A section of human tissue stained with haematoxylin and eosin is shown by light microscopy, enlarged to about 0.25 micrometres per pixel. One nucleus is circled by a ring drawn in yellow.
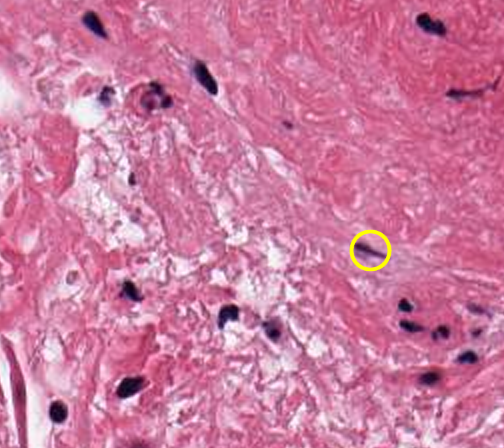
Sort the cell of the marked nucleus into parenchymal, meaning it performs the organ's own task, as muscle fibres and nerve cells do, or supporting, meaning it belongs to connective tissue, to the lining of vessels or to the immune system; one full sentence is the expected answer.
Within this section, the marked nucleus belongs to a supporting cell.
